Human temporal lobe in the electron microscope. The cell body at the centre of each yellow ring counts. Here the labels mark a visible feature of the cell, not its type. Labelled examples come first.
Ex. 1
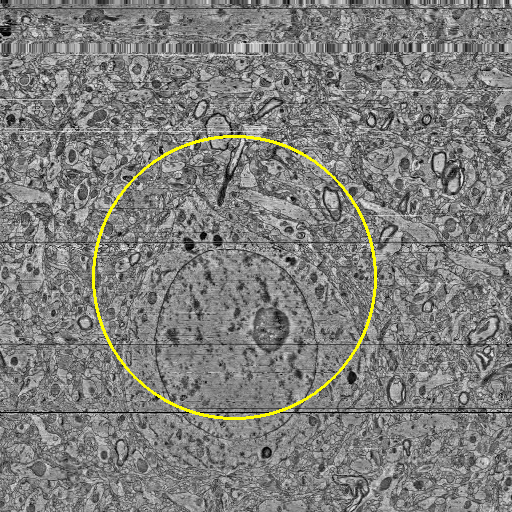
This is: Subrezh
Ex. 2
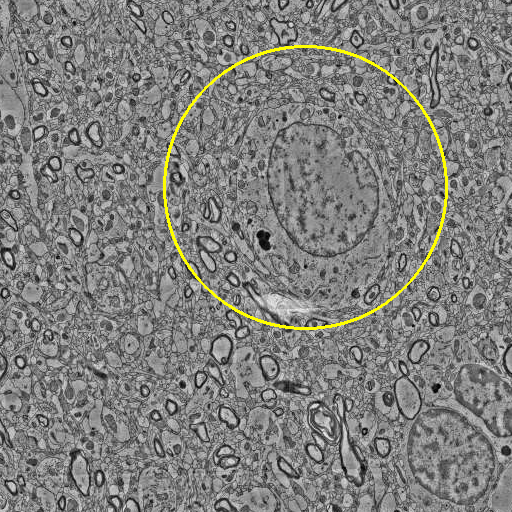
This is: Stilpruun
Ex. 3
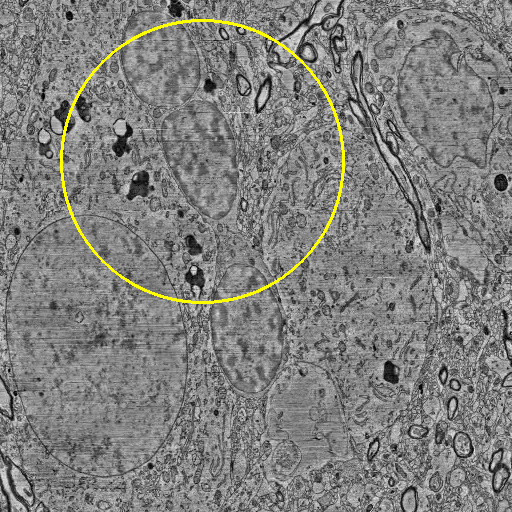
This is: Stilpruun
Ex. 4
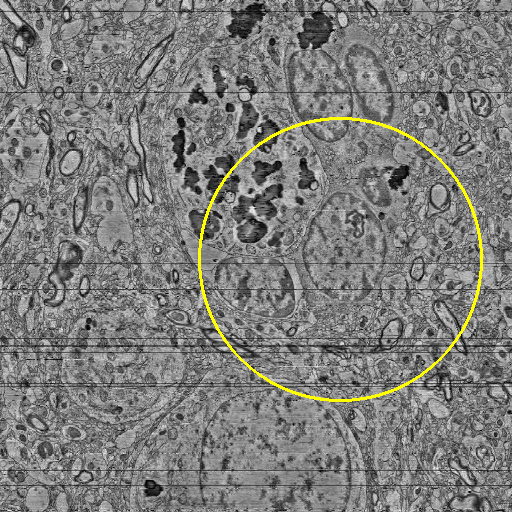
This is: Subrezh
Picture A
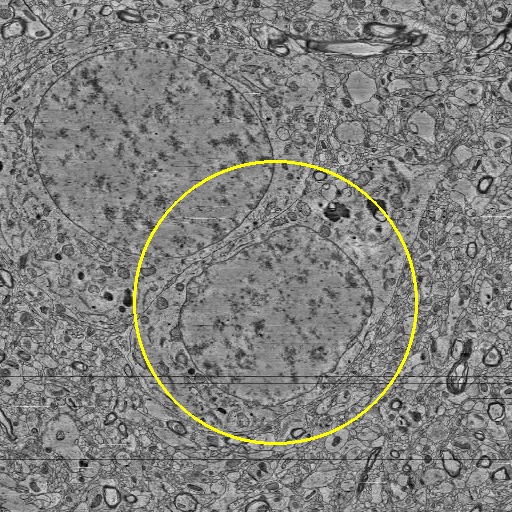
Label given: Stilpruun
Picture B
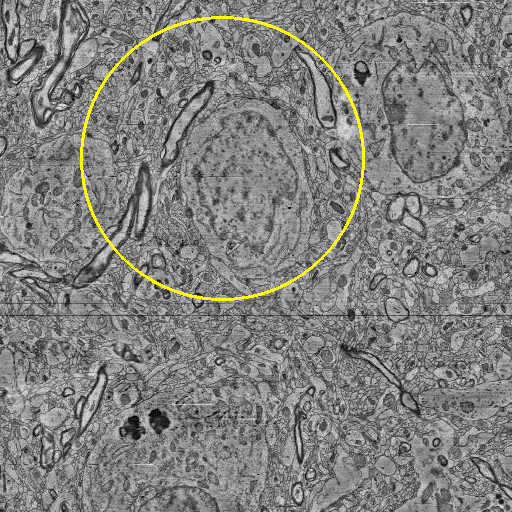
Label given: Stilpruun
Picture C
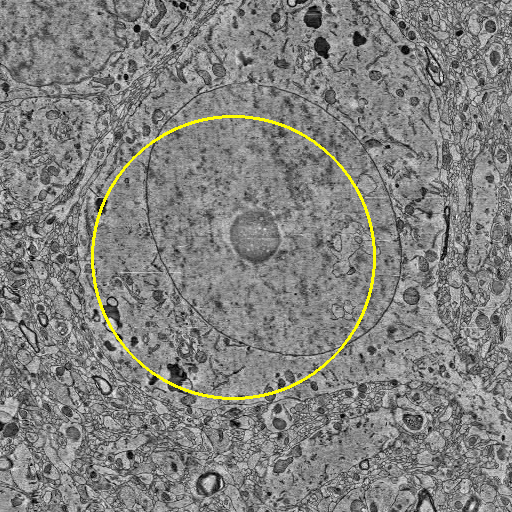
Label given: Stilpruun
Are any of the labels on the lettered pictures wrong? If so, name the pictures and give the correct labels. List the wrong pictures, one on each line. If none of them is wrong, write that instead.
C: not Stilpruun but Subrezh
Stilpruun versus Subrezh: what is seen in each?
Stilpruun, no nucleolus seen; Subrezh, nucleolus seen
